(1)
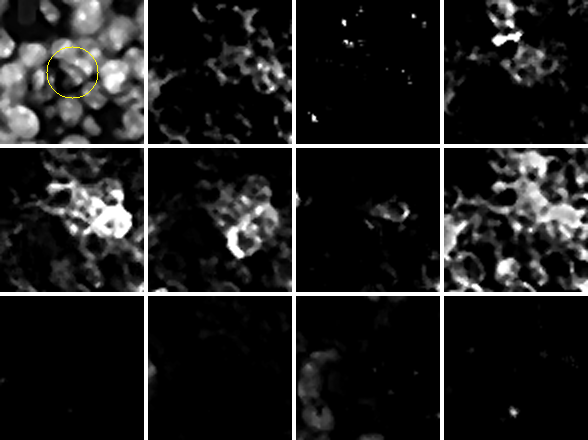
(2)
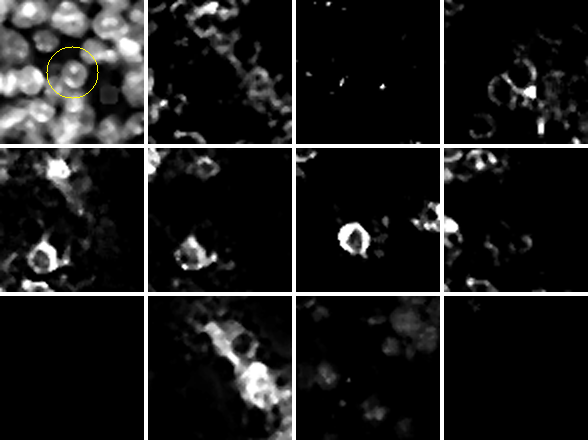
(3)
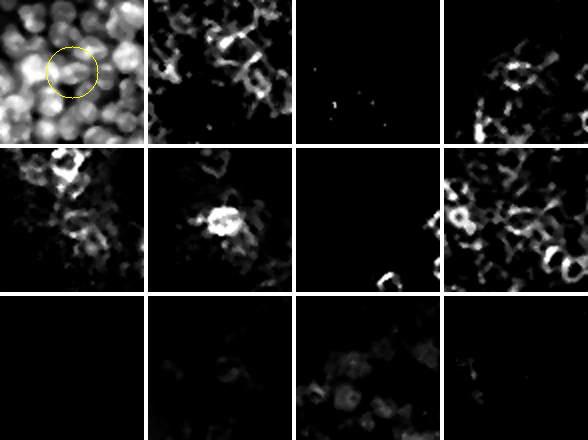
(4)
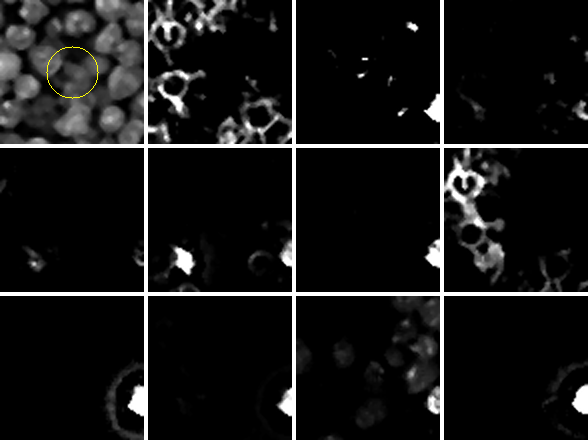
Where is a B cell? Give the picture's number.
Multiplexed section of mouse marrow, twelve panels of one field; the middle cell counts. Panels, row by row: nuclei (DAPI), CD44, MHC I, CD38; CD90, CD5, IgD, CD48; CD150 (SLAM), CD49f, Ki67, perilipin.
2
